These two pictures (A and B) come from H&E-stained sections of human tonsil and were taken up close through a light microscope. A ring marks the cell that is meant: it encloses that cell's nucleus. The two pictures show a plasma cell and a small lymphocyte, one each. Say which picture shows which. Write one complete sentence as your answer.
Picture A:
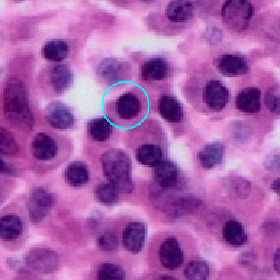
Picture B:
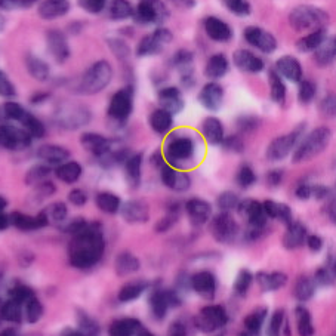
Picture A shows a plasma cell and picture B shows a small lymphocyte.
